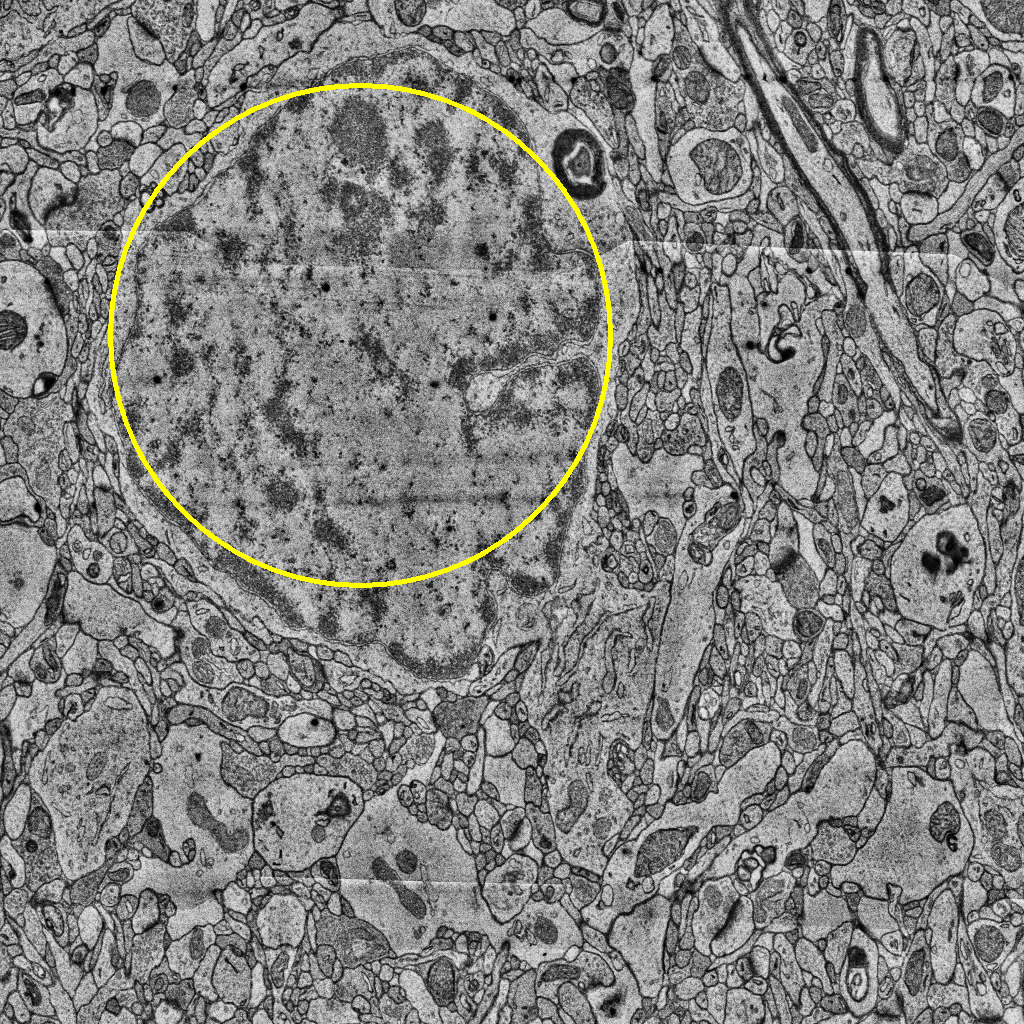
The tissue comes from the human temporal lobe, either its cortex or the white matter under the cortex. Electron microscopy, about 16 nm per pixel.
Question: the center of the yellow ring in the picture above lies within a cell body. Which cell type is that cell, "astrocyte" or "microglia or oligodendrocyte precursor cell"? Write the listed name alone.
microglia or oligodendrocyte precursor cell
